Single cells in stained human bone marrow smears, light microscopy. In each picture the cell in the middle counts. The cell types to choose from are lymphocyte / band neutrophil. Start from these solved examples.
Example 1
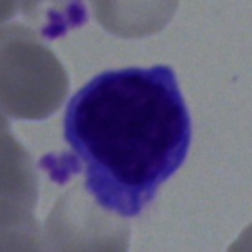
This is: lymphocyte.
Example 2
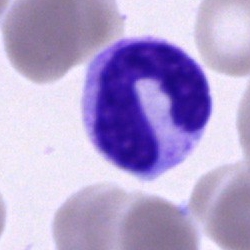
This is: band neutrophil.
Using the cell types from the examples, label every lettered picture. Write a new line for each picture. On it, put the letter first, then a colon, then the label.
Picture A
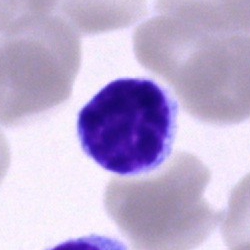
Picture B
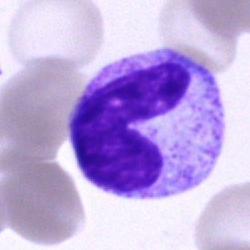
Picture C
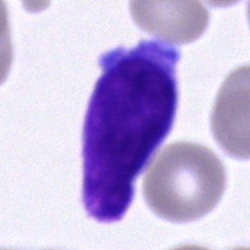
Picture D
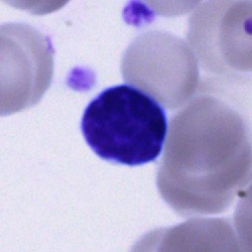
A: lymphocyte.
B: band neutrophil.
C: lymphocyte.
D: lymphocyte.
